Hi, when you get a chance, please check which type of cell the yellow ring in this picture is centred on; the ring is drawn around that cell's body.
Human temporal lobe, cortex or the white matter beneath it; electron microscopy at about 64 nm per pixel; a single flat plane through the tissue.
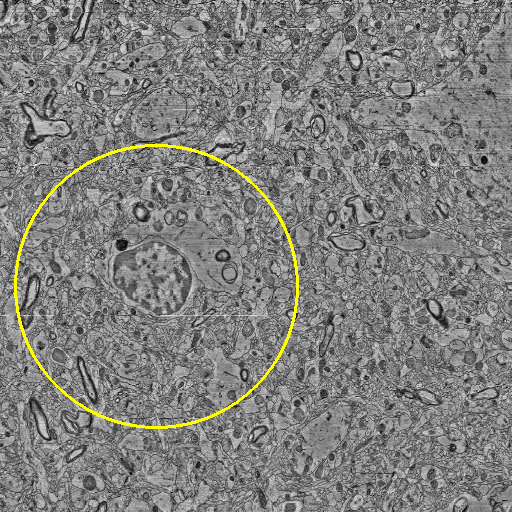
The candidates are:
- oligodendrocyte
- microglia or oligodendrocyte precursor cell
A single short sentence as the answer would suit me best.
The ring is drawn around the body of a microglial cell or oligodendrocyte precursor cell.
